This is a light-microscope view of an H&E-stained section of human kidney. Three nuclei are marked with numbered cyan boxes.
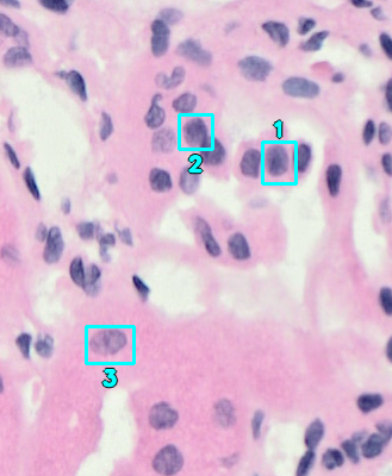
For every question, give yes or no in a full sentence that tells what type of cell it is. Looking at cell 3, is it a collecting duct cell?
No, cell 3 is not a collecting duct cell; a proximal tubule cell is correct.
